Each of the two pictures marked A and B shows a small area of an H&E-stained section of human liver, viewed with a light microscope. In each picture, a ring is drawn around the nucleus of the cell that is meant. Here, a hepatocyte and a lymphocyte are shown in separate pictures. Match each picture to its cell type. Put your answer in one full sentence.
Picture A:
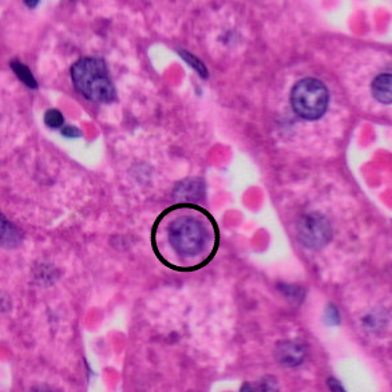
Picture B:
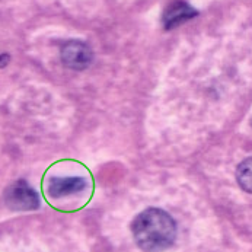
It is picture A that shows a hepatocyte, and picture B that shows a lymphocyte.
